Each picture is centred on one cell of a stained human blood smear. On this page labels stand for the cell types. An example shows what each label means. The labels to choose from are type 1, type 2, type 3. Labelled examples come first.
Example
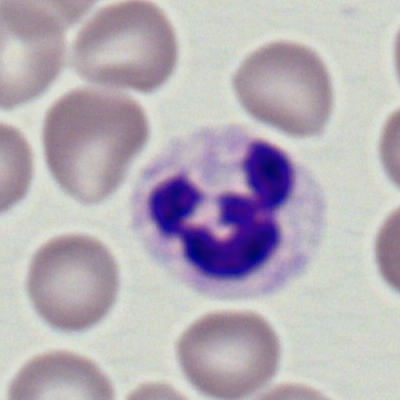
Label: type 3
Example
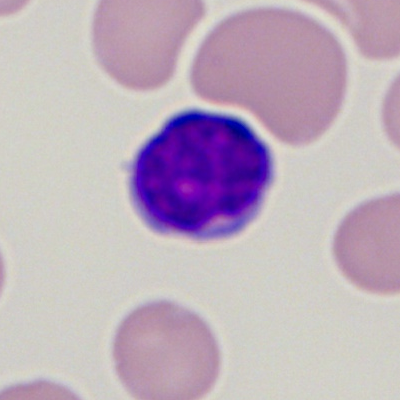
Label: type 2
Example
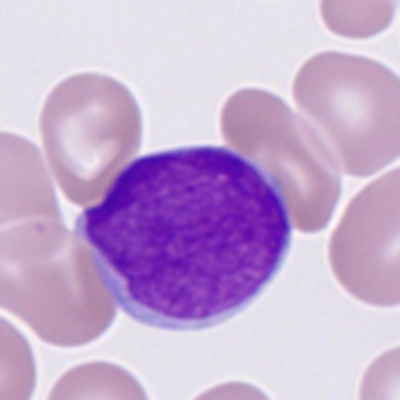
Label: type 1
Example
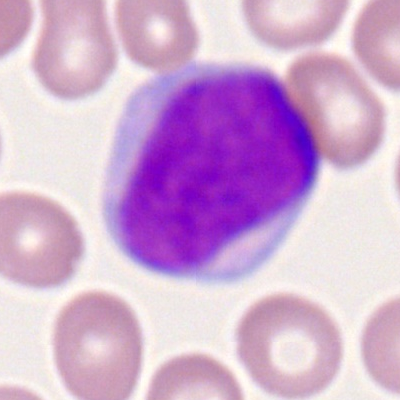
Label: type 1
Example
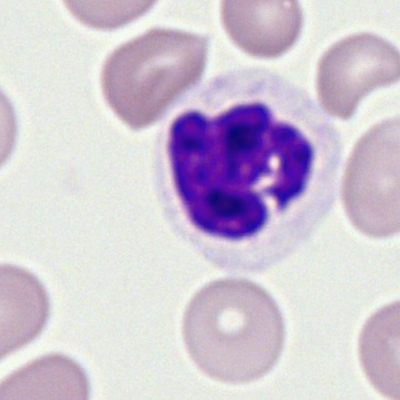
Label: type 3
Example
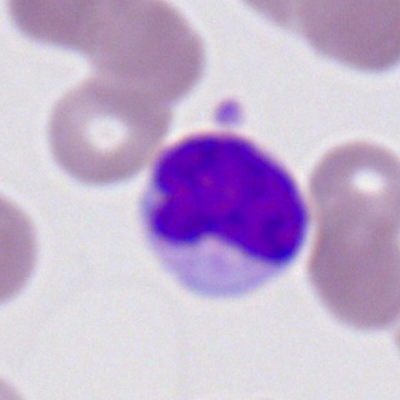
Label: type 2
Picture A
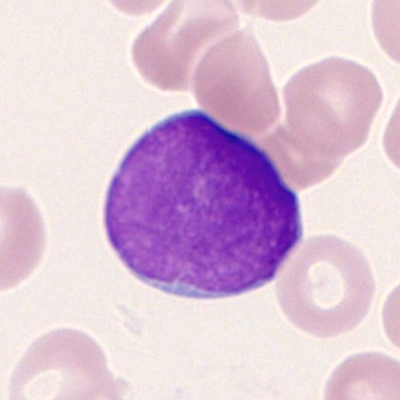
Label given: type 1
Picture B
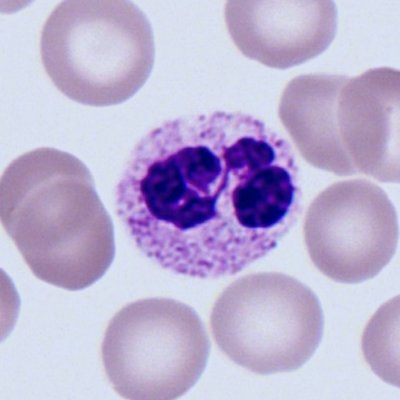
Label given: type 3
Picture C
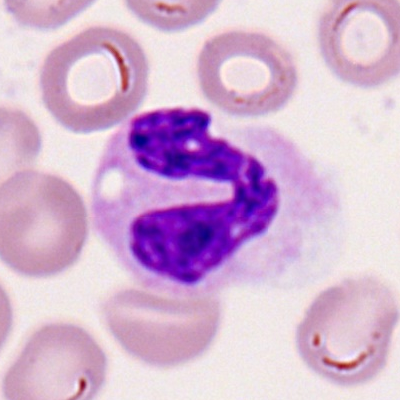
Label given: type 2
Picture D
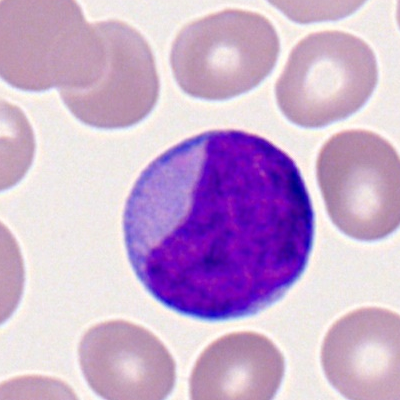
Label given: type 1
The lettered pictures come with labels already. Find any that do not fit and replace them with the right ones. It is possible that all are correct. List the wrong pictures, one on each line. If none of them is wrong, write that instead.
Wrong: C (type 2); correct: type 3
